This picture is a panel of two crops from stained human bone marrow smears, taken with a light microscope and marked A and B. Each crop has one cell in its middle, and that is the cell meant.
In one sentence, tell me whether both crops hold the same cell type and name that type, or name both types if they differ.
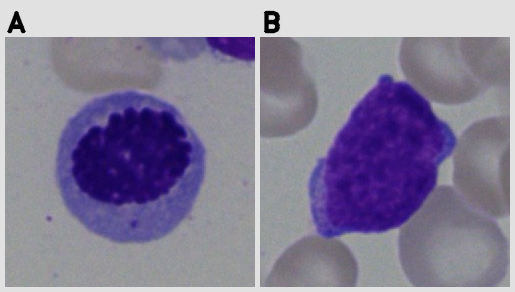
No: an erythroblast sits in crop A, and a blast sits in crop B.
